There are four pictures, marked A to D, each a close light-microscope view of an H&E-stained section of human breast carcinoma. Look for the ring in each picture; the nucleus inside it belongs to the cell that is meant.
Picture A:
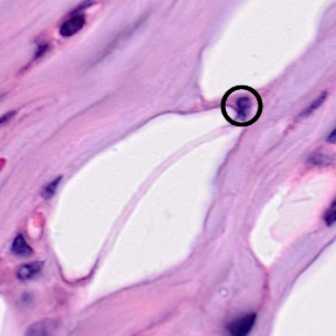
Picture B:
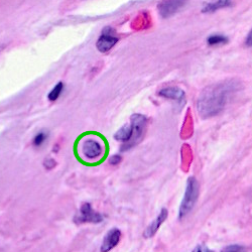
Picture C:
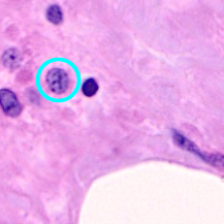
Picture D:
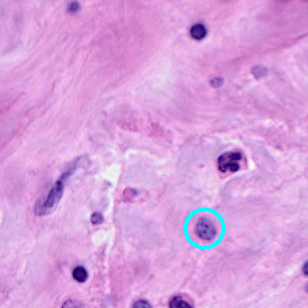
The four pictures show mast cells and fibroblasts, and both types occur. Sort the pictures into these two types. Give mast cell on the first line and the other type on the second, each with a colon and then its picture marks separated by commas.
mast cell: B, C, D
fibroblast: A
